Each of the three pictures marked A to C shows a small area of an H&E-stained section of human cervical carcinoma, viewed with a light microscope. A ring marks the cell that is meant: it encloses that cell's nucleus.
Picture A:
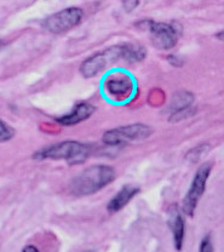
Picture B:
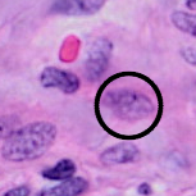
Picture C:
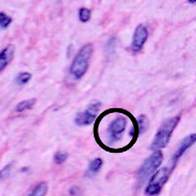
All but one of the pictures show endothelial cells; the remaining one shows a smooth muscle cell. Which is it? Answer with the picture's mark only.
C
